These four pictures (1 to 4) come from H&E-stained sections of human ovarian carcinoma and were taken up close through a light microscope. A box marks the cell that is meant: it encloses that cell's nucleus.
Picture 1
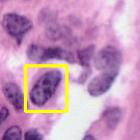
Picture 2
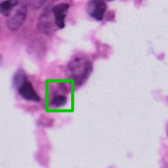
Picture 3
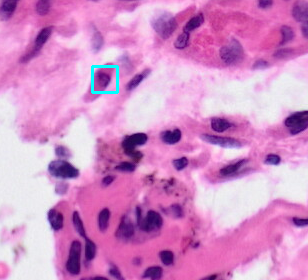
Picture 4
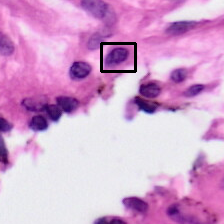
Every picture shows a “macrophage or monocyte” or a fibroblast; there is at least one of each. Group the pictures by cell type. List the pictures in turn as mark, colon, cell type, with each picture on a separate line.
1: macrophage or monocyte
2: macrophage or monocyte
3: fibroblast
4: macrophage or monocyte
